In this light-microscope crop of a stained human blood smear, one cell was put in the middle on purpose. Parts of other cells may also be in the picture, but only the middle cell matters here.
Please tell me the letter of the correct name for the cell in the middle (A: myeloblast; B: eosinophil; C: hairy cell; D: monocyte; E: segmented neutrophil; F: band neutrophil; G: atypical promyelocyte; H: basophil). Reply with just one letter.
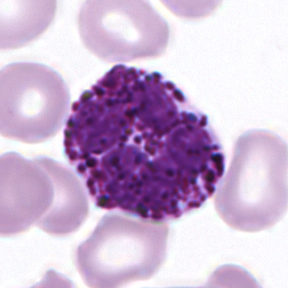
H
